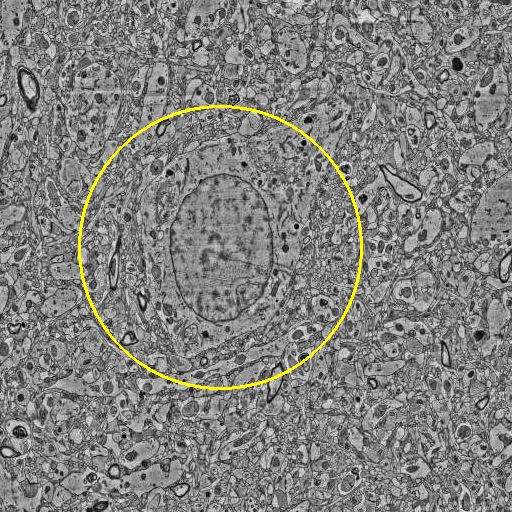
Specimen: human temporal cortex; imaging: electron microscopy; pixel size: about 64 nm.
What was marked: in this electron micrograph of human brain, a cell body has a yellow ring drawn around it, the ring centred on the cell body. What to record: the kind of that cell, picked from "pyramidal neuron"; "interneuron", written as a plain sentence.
The centred cell is a pyramidal neuron.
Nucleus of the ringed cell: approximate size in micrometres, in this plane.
In this plane, roughly 10 by 7 micrometres.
